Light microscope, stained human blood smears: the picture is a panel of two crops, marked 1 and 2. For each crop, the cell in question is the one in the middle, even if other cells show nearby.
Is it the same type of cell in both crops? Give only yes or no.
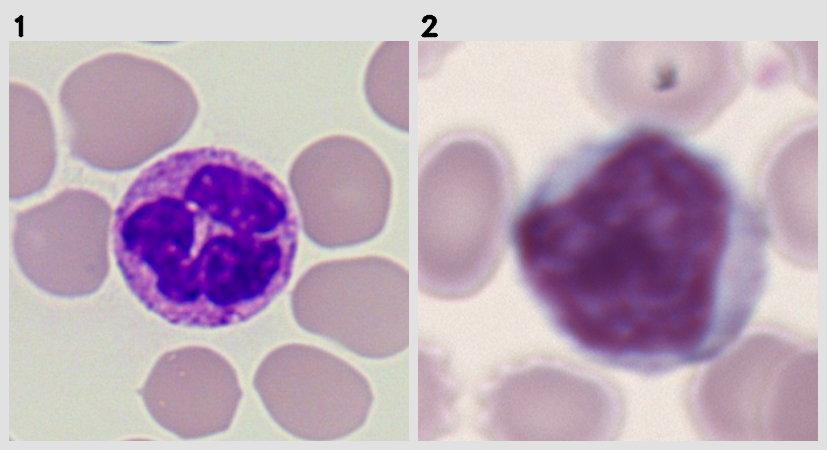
no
